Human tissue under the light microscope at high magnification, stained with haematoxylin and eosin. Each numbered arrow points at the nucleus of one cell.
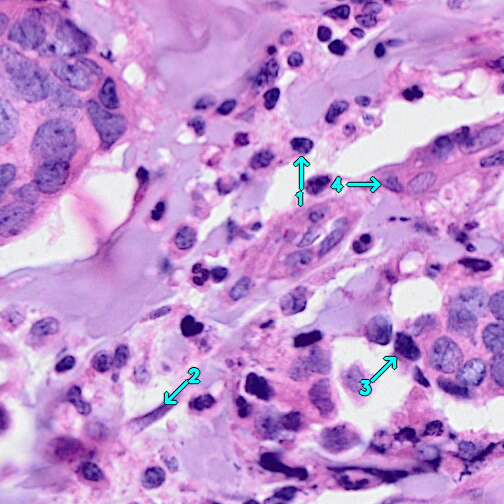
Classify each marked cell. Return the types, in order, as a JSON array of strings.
["lymphocyte", "fibroblast", "carcinoma cell", "endothelial cell"]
